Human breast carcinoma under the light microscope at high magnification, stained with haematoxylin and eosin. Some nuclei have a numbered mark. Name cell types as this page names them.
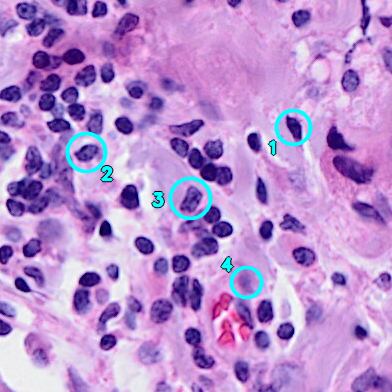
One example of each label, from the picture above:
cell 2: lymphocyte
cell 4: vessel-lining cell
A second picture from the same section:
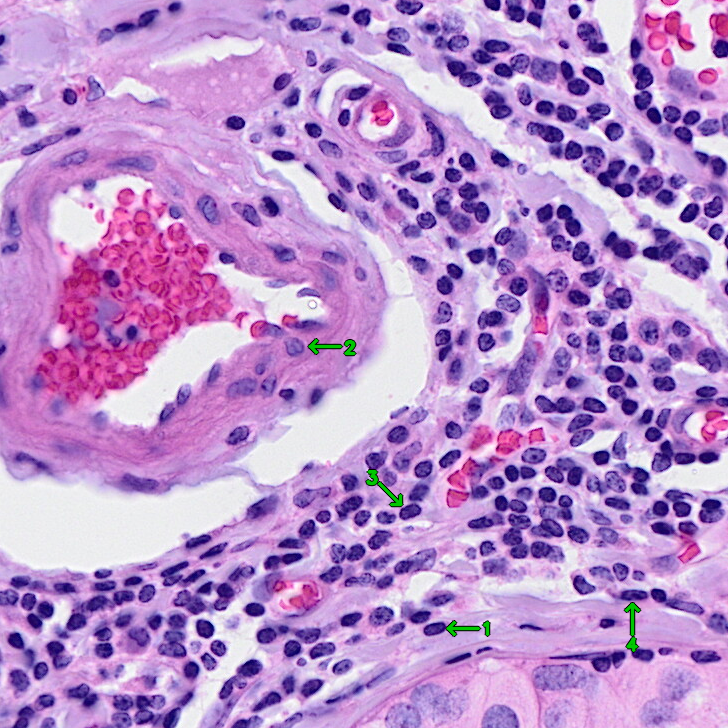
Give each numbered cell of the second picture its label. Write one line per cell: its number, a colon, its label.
1: lymphocyte
2: vessel-lining cell
3: lymphocyte
4: lymphocyte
